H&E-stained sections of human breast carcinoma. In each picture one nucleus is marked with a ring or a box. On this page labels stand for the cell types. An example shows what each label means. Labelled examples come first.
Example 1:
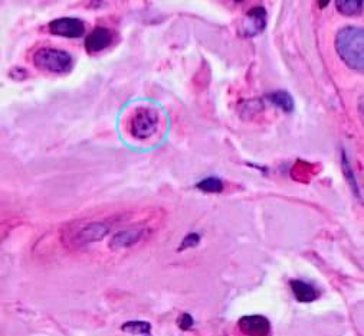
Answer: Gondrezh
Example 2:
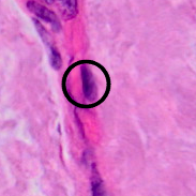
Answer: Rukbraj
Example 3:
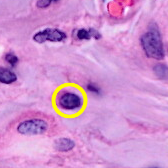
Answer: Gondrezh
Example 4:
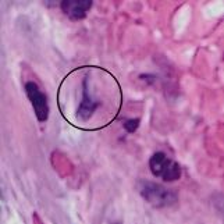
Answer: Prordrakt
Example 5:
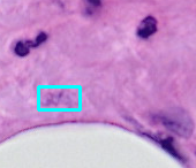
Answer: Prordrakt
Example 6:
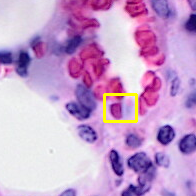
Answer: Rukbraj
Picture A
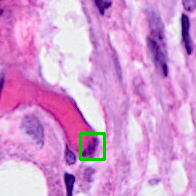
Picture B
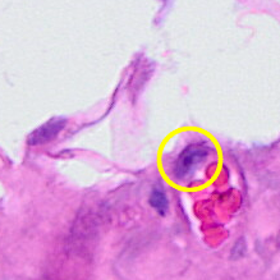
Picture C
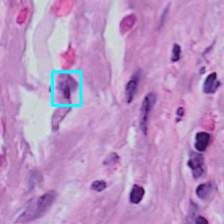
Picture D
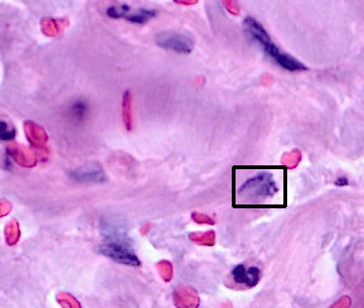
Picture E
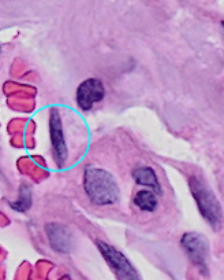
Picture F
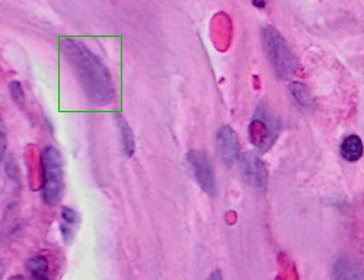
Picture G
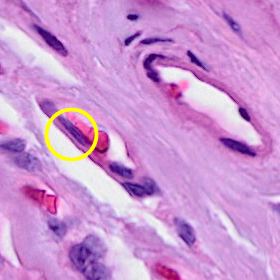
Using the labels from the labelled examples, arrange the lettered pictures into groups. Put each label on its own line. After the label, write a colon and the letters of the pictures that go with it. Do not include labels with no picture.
Rukbraj: A, B, E, G
Prordrakt: C, D, F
